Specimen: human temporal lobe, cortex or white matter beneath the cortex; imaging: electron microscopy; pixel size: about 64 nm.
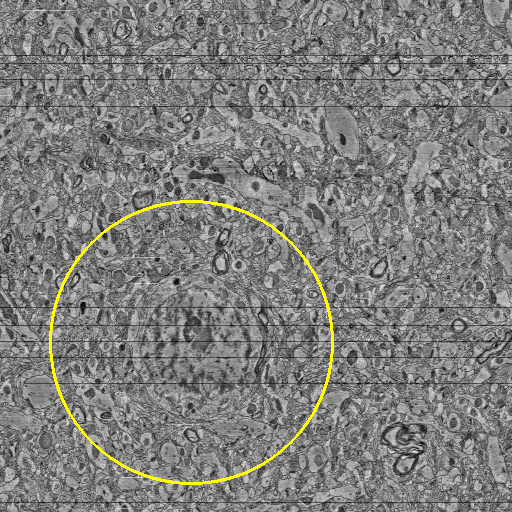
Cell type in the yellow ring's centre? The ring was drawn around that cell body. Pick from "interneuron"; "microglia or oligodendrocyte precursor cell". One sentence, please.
The ringed cell body is that of an interneuron.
